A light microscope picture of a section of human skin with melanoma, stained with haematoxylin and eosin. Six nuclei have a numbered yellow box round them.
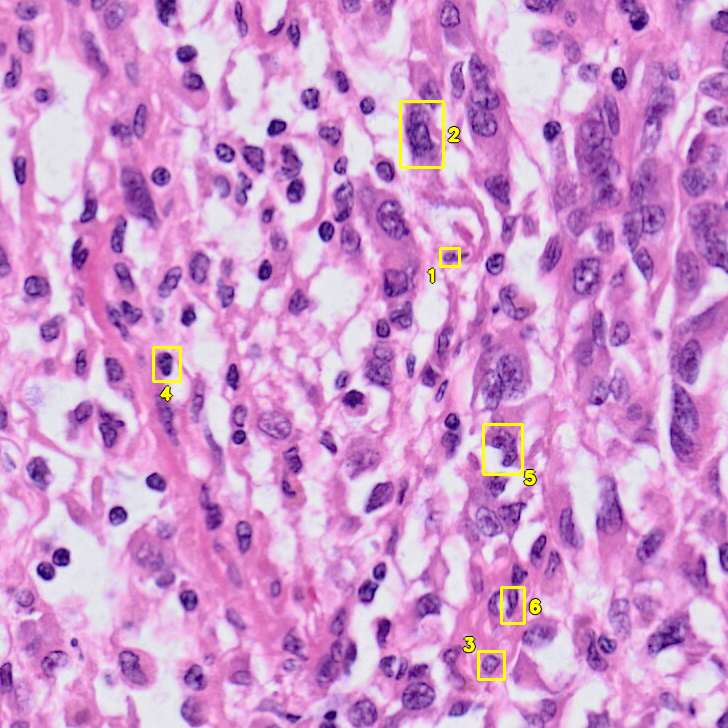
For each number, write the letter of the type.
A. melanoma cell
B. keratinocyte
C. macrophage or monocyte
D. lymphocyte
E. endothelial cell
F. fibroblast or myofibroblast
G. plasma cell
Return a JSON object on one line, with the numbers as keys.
{"1": "C", "2": "A", "3": "C", "4": "D", "5": "A", "6": "E"}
